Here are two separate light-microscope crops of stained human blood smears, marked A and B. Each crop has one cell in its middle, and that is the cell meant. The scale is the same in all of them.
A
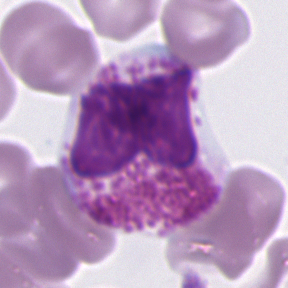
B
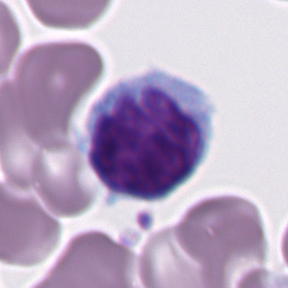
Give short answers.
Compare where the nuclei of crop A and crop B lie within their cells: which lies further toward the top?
A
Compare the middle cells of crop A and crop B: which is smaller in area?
B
